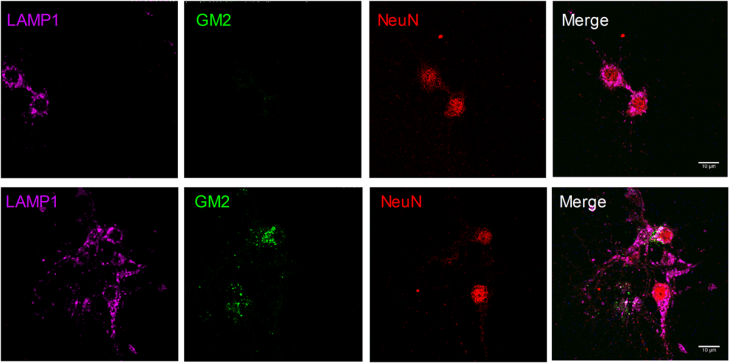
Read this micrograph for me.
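In the top row the magenta signal forms small dots ringing two cell bodies, and the green signal is almost absent. In the bottom row the magenta dots are more numerous and coarser, spreading through the cell bodies and along thick processes, and green granules cluster in the cytoplasm beside the cell bodies. In the merged image only some green granules coincide with magenta dots, and many remain separate.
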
